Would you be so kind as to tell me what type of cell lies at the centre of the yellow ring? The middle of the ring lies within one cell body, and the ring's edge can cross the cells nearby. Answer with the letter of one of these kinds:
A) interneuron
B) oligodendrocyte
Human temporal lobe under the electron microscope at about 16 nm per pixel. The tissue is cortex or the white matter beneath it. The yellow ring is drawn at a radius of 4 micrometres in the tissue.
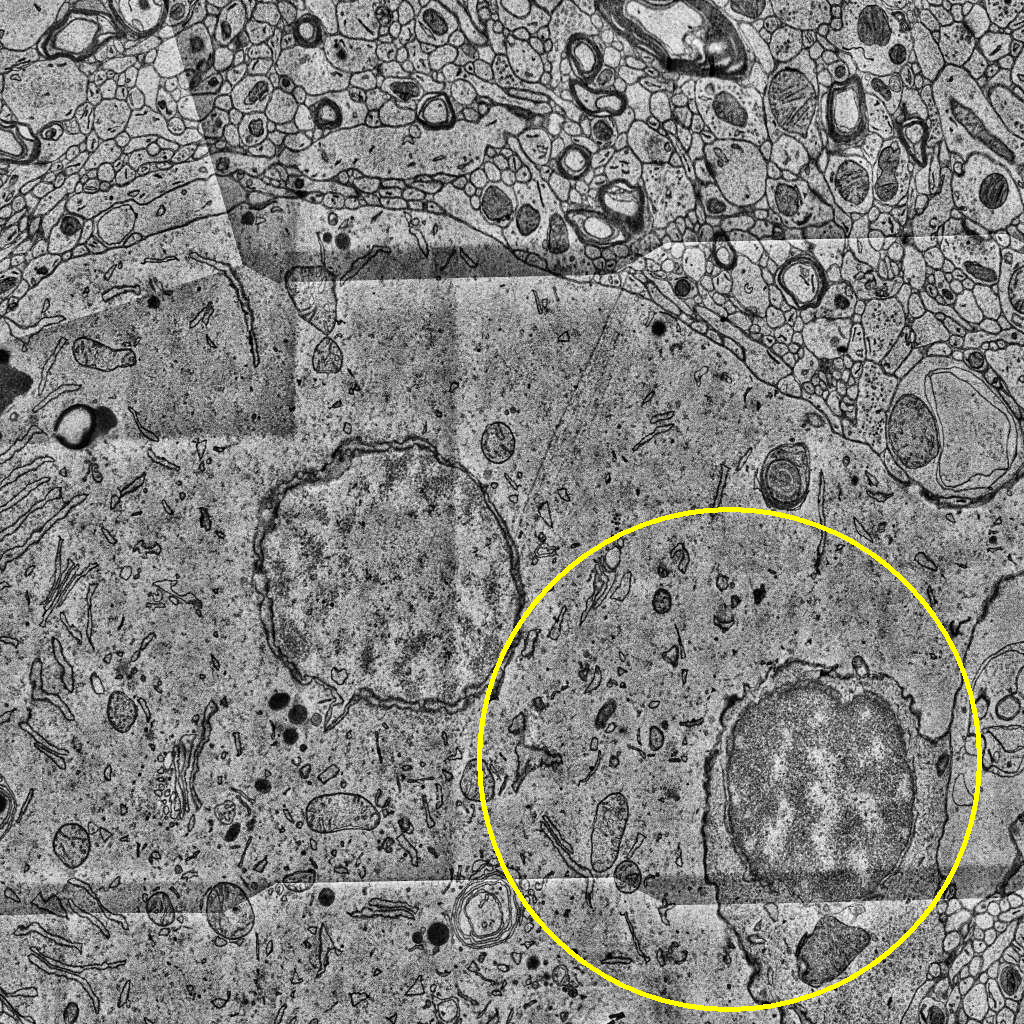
B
